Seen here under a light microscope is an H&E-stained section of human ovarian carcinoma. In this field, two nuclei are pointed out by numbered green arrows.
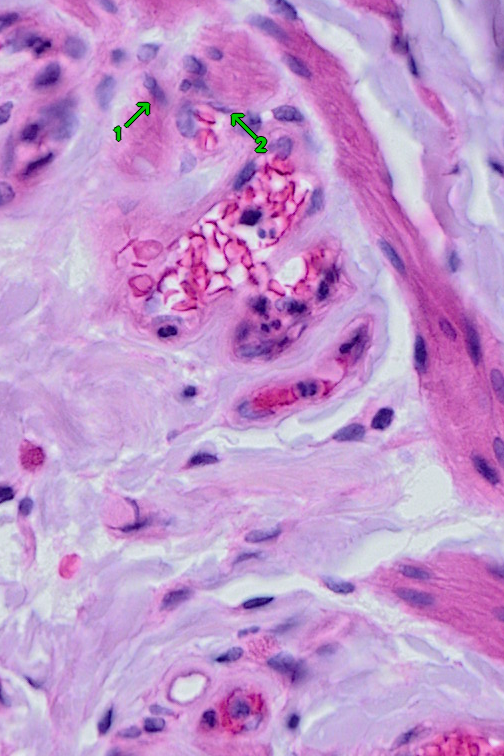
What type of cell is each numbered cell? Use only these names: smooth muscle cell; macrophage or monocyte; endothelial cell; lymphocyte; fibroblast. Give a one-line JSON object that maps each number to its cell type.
{"1": "smooth muscle cell", "2": "endothelial cell"}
